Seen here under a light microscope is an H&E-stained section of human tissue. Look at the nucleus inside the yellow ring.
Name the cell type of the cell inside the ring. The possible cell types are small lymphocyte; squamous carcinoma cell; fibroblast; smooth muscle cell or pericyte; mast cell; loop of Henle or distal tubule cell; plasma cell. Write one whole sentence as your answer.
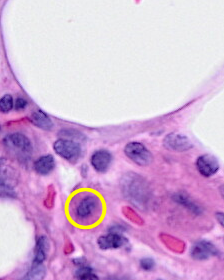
The cell inside the ring is a mast cell.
